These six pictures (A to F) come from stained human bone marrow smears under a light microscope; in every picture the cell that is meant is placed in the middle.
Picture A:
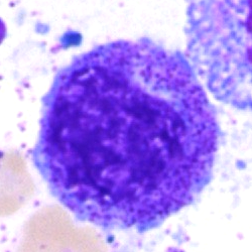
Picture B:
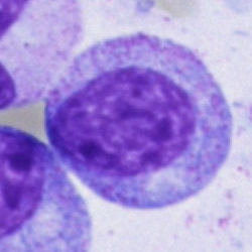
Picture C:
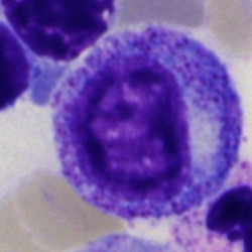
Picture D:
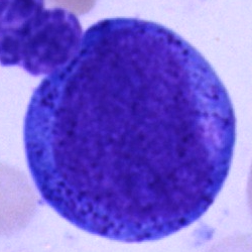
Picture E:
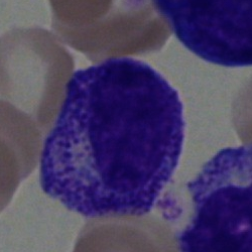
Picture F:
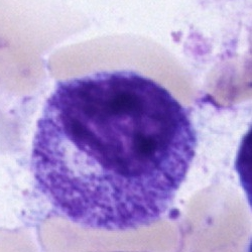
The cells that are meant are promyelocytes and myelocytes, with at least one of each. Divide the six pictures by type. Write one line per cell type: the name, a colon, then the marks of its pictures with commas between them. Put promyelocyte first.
promyelocyte: C, D
myelocyte: A, B, E, F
